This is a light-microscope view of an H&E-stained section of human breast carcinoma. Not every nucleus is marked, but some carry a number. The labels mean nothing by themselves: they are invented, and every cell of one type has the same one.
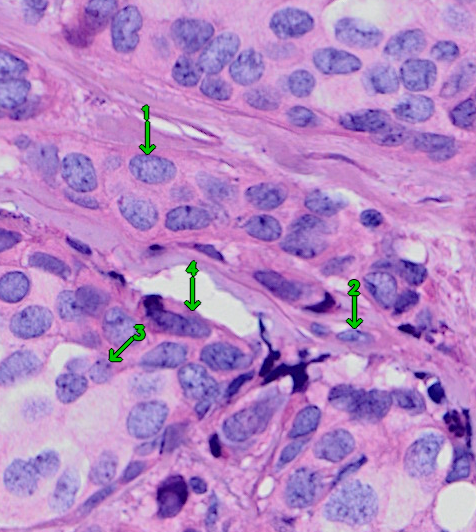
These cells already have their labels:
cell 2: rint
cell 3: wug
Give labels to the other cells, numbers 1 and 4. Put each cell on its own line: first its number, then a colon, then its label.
1: wug
4: wug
